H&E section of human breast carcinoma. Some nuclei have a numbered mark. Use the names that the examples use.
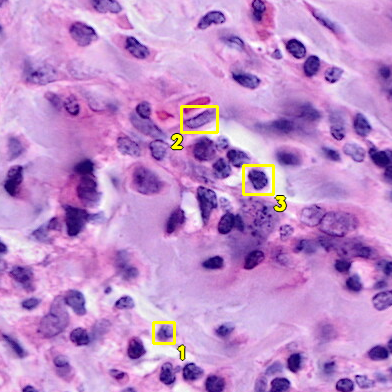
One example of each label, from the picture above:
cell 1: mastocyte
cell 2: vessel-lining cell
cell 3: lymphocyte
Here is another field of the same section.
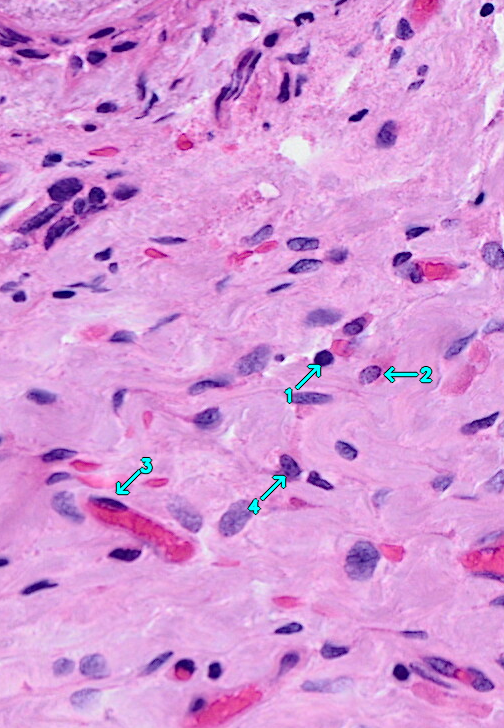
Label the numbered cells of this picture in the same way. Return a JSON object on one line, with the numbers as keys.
{"1": "lymphocyte", "2": "mastocyte", "3": "vessel-lining cell", "4": "mastocyte"}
